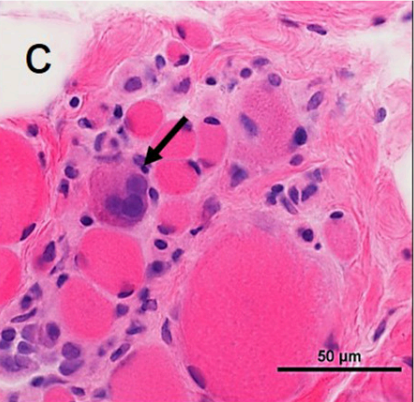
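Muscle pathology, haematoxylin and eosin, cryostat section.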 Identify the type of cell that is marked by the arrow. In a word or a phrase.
Regenerating myofiber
